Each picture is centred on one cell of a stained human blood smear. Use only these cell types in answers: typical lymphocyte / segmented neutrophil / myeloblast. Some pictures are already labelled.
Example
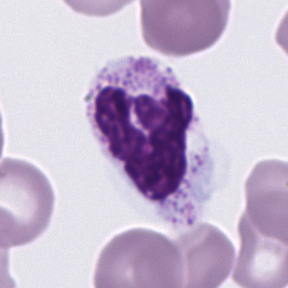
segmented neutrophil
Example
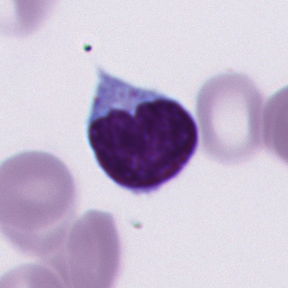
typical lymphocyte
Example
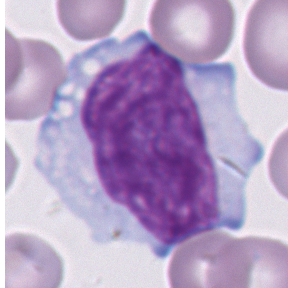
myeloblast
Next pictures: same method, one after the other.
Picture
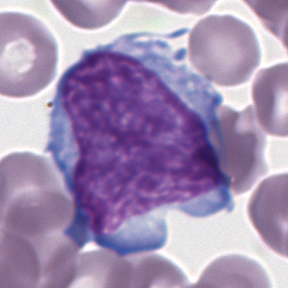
myeloblast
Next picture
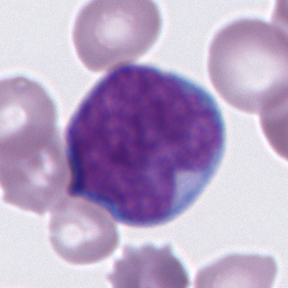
myeloblast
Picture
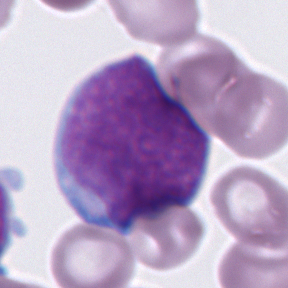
myeloblast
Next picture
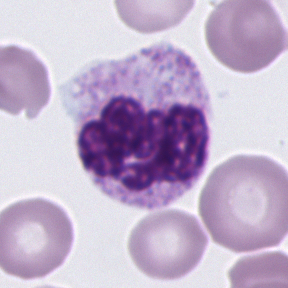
segmented neutrophil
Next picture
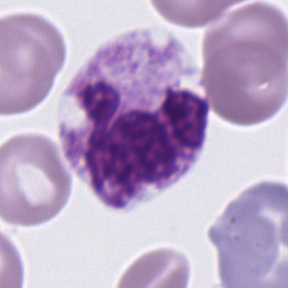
segmented neutrophil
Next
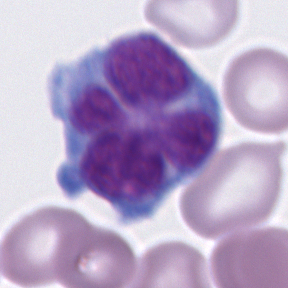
myeloblast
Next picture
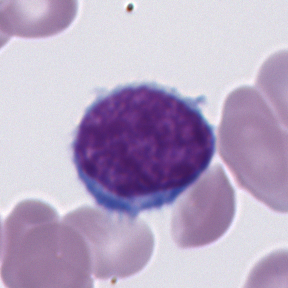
typical lymphocyte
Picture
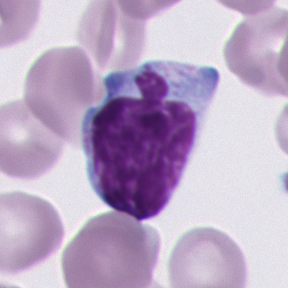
typical lymphocyte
